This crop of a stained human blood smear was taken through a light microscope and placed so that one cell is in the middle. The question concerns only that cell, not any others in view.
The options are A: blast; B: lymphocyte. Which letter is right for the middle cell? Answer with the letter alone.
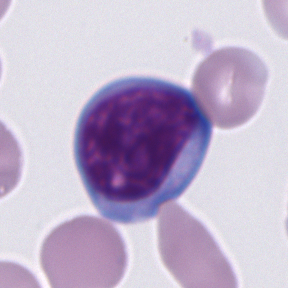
B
